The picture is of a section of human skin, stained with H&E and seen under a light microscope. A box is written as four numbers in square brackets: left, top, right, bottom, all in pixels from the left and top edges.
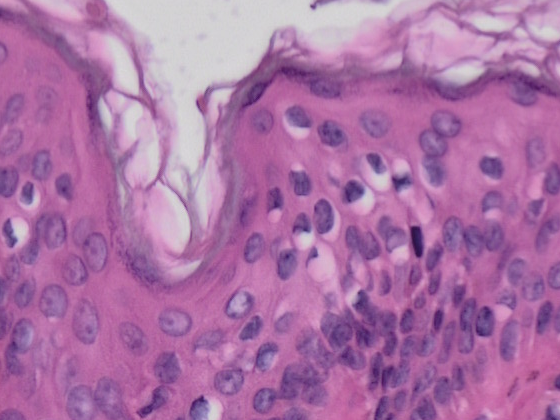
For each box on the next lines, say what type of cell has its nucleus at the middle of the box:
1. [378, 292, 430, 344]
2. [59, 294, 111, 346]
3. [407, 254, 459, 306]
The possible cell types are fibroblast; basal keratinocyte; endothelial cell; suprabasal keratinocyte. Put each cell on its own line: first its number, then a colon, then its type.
1: basal keratinocyte
2: suprabasal keratinocyte
3: basal keratinocyte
